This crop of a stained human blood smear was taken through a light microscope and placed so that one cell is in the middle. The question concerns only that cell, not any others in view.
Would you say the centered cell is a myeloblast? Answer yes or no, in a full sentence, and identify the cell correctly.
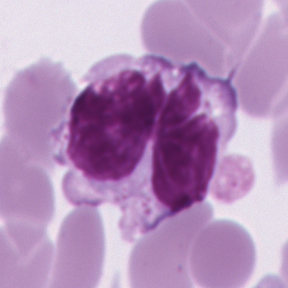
No, the middle one is a large granular lymphocyte rather than a myeloblast.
